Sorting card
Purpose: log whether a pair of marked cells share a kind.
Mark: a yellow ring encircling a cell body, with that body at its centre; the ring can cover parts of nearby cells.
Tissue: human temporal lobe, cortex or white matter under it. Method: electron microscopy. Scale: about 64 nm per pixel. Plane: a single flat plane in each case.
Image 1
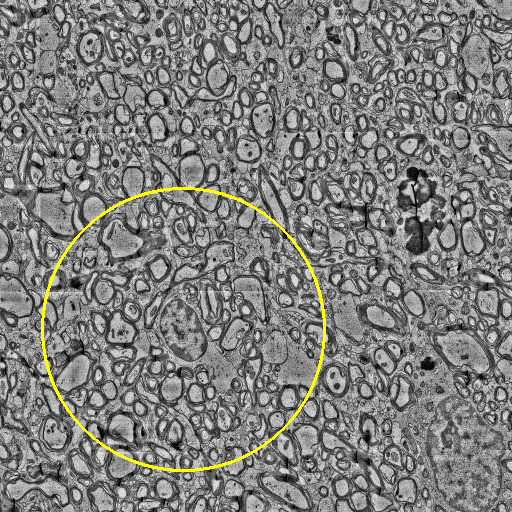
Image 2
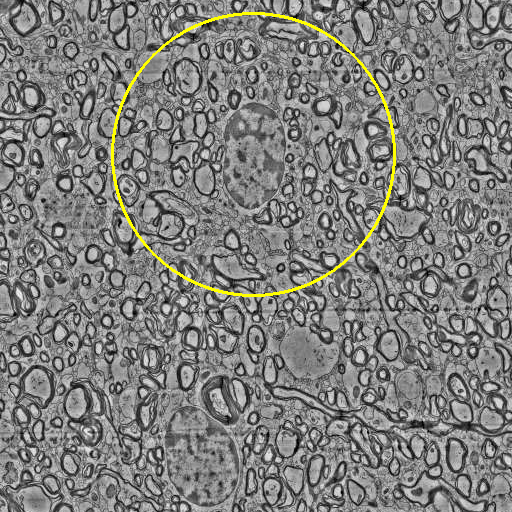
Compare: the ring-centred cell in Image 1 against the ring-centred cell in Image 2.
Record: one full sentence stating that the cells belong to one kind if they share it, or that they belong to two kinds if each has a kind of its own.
Across Images 1 and 2, the two ring-centred cells belong to one kind.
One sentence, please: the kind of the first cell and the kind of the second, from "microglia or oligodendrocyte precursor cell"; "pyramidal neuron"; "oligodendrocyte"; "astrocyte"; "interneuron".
Each of the two rings is centred on a microglial cell or oligodendrocyte precursor cell.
